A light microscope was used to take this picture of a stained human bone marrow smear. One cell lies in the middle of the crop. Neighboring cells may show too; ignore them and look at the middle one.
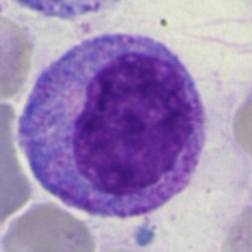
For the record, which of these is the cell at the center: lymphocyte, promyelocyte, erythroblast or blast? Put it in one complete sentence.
The target cell in the middle of the crop is a promyelocyte.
